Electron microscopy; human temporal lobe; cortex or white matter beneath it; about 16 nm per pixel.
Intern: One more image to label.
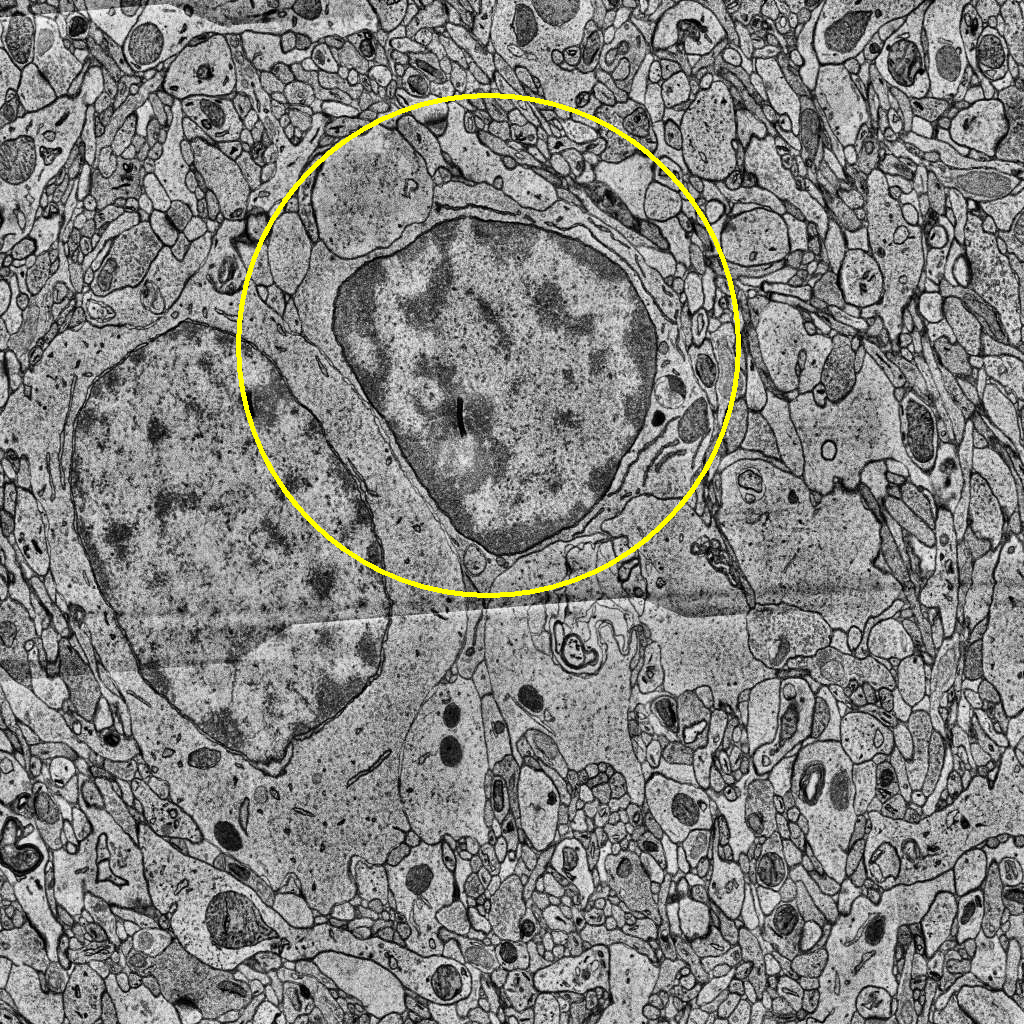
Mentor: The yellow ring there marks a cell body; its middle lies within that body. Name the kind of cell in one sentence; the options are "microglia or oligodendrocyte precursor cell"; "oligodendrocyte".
The ring marks the cell body of a microglial cell or oligodendrocyte precursor cell.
